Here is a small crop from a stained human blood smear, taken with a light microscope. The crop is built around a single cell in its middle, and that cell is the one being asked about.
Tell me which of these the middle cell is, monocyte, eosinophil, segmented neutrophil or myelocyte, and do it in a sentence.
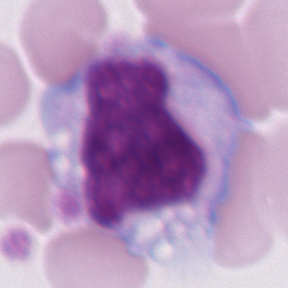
In the centre of this crop there is a monocyte.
